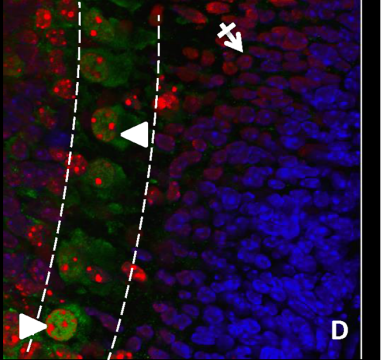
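On one side of this band lies a layer of smaller cells whose nuclei also show red dots, and on the other side a dense crowd of small blue nuclei of granule cells packed closely together. The small packed nuclei show little yellow, so the red and green do not overlap there.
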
